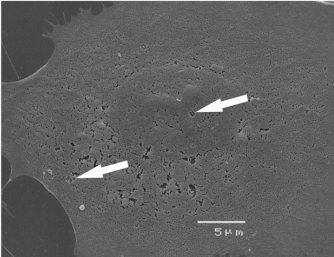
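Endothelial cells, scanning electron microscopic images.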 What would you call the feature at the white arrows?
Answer: Holes in the plasma membrane.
